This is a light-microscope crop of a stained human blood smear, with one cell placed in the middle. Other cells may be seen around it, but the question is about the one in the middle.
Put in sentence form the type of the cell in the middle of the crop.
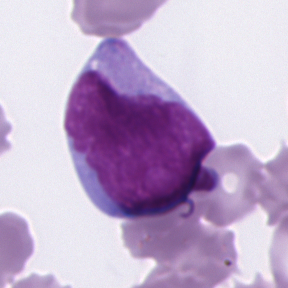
The central element of this crop is a cell, namely a myeloblast.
